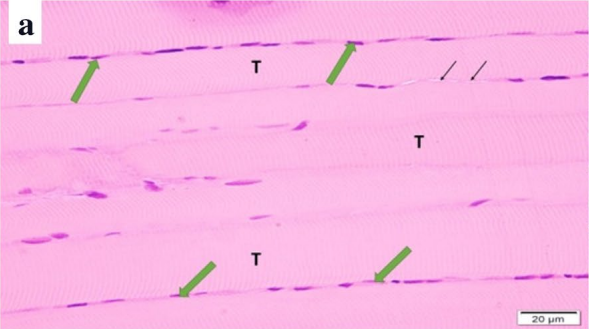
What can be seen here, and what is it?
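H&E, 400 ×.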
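Long, parallel, pink-staining striated fibres run across the field, each showing fine regular cross-banding. Flat-oval purple nuclei lie at the periphery of the fibres, and thin lines of endomysium separate neighbouring fibres.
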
